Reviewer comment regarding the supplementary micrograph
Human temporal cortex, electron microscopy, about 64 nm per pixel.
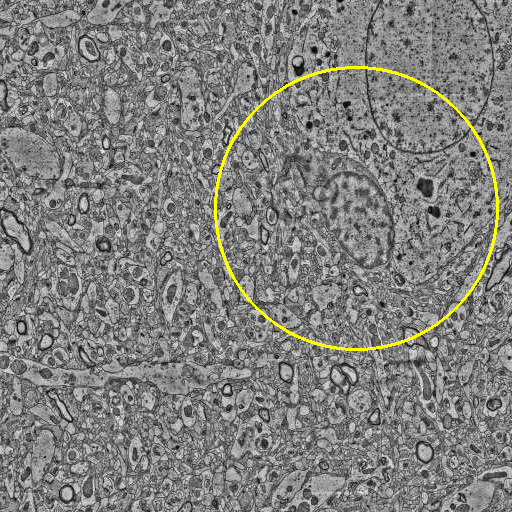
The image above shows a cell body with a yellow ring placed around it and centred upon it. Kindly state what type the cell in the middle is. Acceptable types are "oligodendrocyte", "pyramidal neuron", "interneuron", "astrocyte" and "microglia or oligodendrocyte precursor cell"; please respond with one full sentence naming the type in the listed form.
In the image above, the cell on which the yellow ring is centred is an oligodendrocyte.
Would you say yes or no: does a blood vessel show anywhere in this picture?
No, there is no blood vessel.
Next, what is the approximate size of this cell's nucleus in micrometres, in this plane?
At approximately 6 by 4 micrometres, the nucleus is clearly longer than it is wide in this plane.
